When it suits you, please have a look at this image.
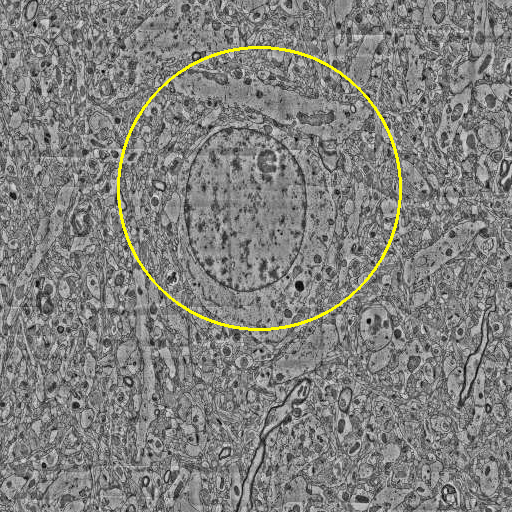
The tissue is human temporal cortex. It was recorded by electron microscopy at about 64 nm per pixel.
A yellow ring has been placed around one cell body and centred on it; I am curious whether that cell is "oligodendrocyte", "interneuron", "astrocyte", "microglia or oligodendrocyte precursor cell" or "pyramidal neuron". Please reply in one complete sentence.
The ringed cell, a pyramidal neuron, has its body at the centre of the yellow ring.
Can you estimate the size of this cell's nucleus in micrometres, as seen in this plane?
The ringed cell's nucleus measures approximately 10 by 8 micrometres in this plane.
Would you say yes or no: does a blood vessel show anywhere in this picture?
No, none appears.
